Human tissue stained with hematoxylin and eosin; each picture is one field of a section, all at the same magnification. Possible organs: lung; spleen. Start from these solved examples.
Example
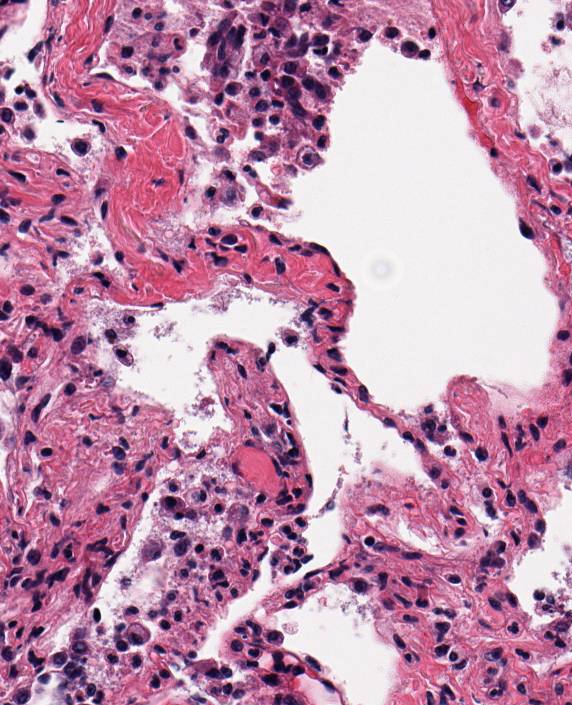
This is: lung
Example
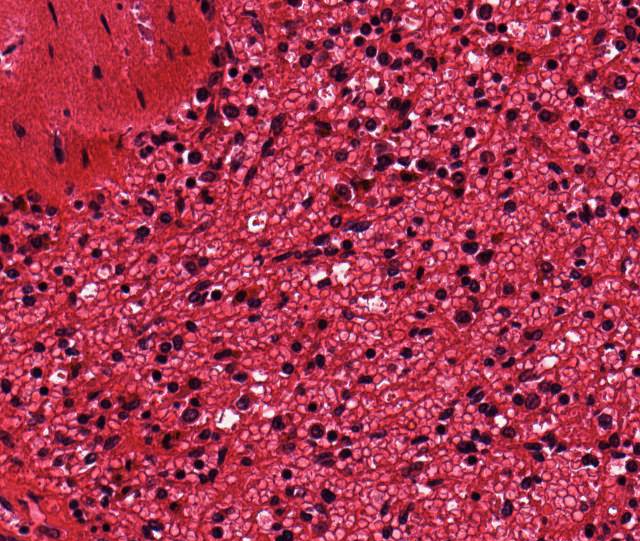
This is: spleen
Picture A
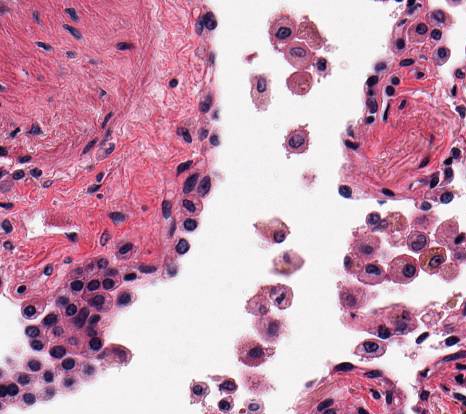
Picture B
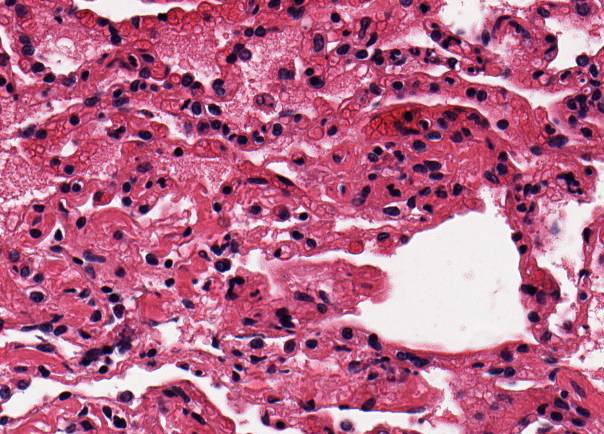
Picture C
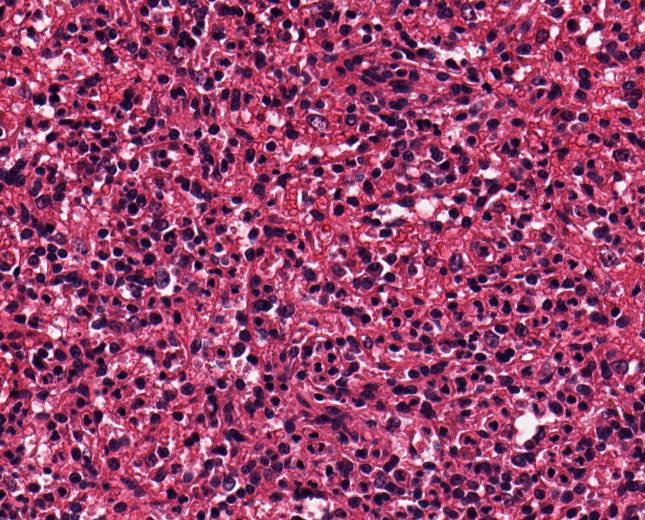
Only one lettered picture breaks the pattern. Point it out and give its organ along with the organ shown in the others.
C differs and shows spleen; the others show lung.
